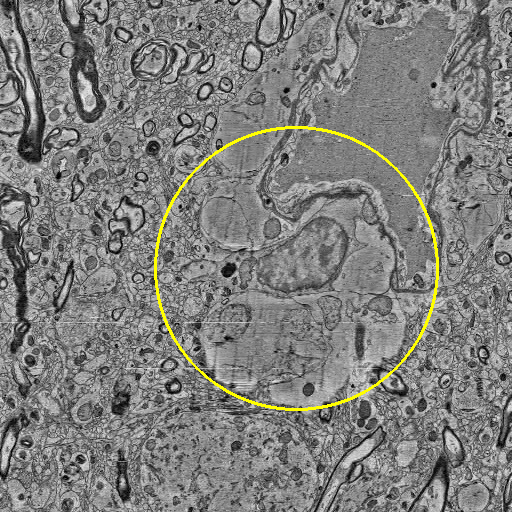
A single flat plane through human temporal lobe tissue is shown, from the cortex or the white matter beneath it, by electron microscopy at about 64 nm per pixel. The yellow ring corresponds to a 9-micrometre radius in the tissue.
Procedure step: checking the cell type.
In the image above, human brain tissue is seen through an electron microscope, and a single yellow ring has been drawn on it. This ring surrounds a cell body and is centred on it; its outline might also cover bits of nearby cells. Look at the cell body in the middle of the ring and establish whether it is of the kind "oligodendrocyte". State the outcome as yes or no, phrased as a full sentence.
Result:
Yes, the cell body at the ring's centre in the image is of the kind in question.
